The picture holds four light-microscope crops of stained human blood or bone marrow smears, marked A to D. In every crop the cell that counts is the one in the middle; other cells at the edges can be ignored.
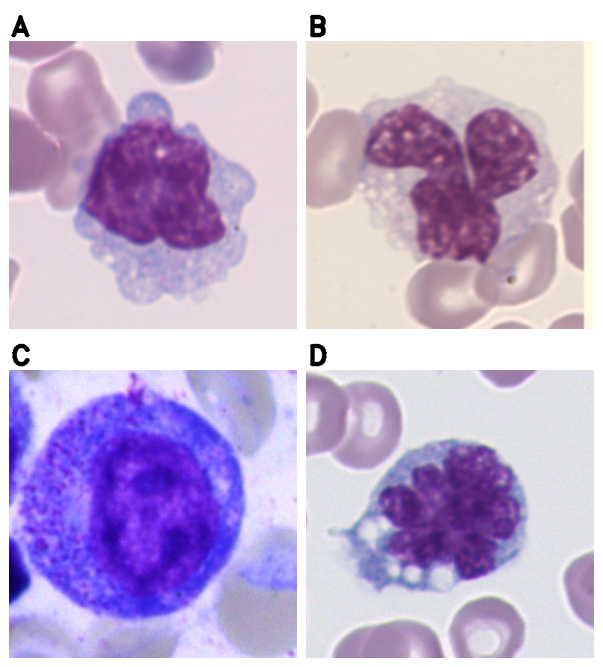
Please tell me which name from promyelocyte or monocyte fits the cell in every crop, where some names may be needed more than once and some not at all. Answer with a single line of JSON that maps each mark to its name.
{"A": "monocyte", "B": "monocyte", "C": "promyelocyte", "D": "monocyte"}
